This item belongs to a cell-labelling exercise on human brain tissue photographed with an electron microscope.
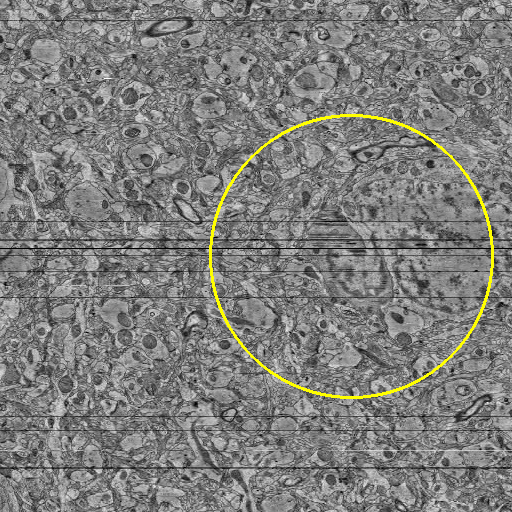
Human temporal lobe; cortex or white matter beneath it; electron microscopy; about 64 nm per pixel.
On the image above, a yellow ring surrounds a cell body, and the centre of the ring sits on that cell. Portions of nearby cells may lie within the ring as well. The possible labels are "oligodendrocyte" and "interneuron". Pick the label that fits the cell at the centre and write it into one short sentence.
This cell should be labelled as an oligodendrocyte.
